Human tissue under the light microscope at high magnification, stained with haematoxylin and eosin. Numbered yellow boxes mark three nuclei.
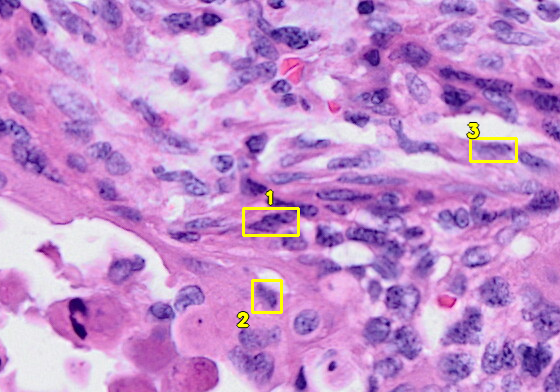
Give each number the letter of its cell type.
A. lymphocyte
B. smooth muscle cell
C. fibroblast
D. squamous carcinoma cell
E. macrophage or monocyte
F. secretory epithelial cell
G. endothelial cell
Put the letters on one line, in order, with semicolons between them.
D; D; C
